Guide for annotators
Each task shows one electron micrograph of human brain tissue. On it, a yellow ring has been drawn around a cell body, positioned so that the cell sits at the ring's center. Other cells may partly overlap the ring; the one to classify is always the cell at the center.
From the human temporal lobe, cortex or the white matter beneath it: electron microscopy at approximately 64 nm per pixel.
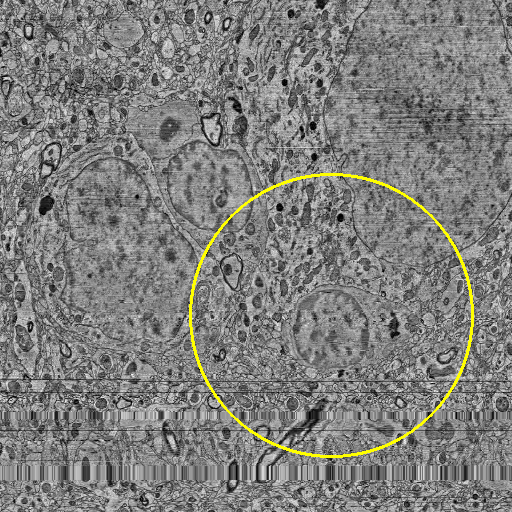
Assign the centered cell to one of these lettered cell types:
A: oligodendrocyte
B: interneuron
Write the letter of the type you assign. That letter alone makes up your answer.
A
